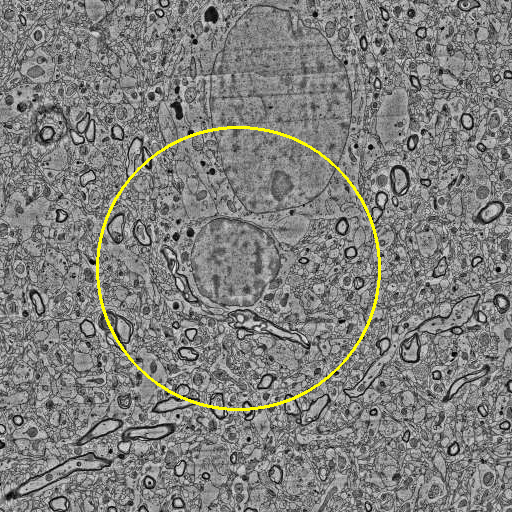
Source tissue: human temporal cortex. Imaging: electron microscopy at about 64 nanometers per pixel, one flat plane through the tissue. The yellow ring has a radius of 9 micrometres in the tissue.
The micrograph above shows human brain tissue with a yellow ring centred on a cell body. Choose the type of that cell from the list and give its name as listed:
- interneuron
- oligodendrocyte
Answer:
oligodendrocyte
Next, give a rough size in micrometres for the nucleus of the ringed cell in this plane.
The nucleus of the ringed cell is approximately 6 micrometres across in this plane.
